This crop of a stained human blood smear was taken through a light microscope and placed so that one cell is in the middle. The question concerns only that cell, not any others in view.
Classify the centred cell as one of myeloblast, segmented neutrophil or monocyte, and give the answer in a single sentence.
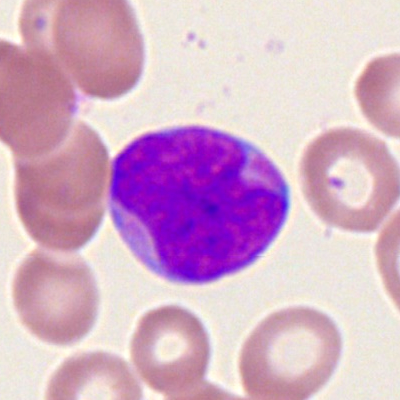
In short, the cell at the center is a myeloblast.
